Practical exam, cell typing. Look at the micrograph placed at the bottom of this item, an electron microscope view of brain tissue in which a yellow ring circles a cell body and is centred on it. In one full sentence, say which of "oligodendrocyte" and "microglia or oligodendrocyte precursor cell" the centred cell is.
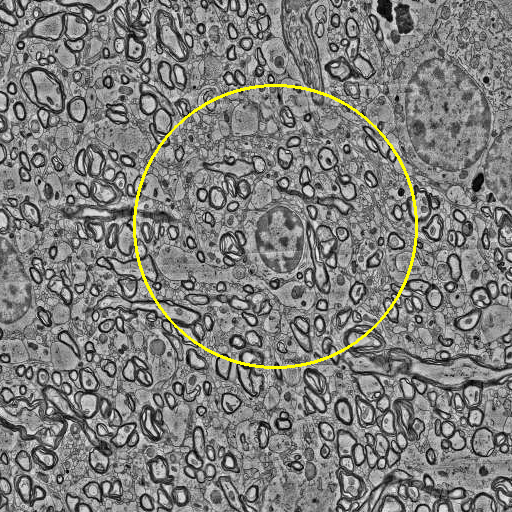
Given the options, a microglial cell or oligodendrocyte precursor cell fits the cell whose body the yellow ring is centred on.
